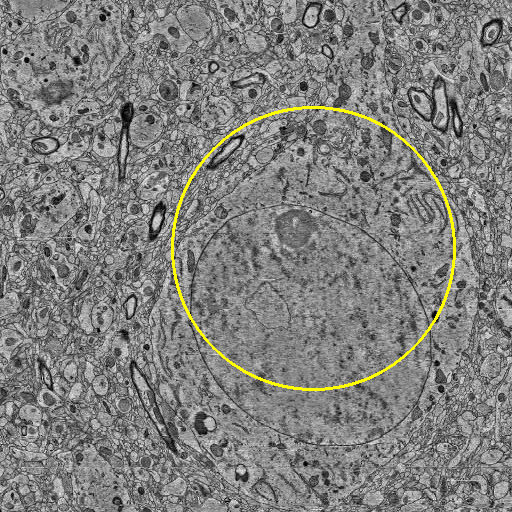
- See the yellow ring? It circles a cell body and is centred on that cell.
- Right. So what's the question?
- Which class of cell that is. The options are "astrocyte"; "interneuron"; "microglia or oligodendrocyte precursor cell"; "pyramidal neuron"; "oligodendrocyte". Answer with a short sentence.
The centre of the ring holds a pyramidal neuron.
